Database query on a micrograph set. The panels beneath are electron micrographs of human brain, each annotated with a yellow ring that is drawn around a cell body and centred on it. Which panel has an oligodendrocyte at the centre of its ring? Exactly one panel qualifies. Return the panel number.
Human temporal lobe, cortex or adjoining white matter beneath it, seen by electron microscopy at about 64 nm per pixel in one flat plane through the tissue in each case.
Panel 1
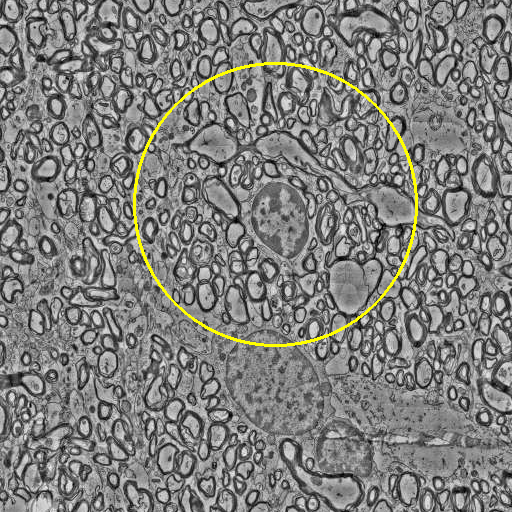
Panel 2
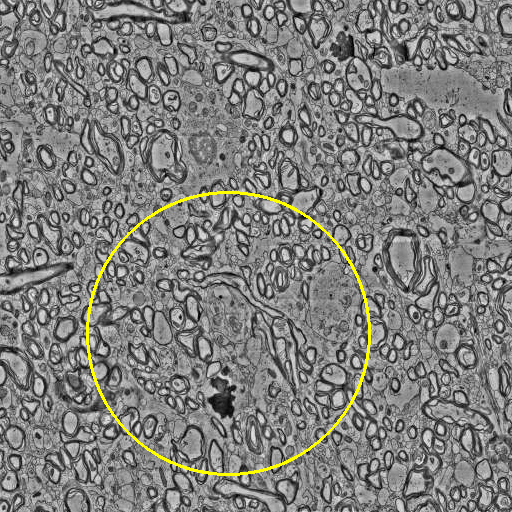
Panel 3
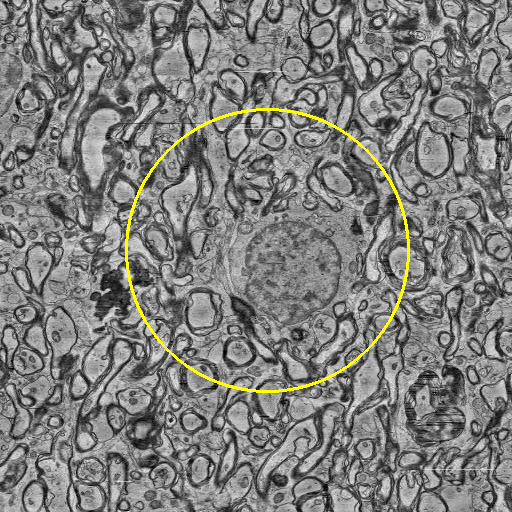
3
